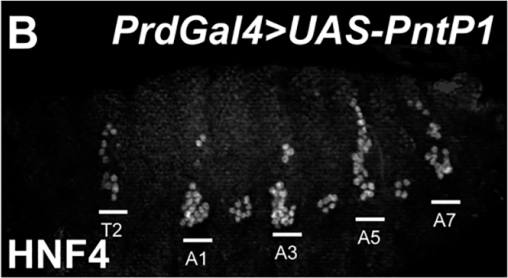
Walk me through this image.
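Lateral view of a whole Drosophila embryo with bright nuclei of oenocyte-like cells arranged segmentally. In several segments the bright nuclei form large elongated groups stretching dorsoventrally, much bigger than small compact clusters, with smaller clusters lying between them.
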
